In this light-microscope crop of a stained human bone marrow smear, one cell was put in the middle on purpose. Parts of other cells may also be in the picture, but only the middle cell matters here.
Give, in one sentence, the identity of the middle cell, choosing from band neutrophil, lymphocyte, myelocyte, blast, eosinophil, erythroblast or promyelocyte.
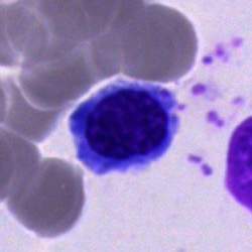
The cell of interest, located centrally, is an erythroblast.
